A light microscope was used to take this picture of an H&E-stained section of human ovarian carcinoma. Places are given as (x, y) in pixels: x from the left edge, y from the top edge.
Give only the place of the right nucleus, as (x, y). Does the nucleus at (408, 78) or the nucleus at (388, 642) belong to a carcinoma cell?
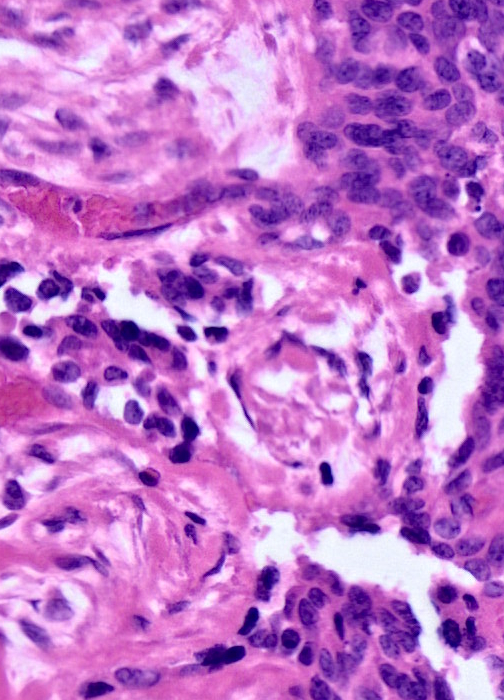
(408, 78)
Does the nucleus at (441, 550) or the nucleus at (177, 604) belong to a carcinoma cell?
(441, 550)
